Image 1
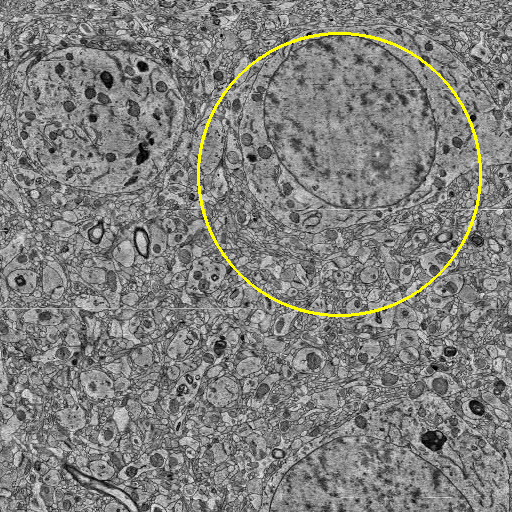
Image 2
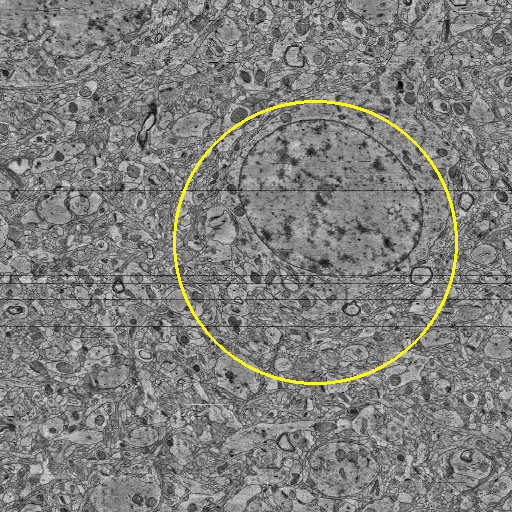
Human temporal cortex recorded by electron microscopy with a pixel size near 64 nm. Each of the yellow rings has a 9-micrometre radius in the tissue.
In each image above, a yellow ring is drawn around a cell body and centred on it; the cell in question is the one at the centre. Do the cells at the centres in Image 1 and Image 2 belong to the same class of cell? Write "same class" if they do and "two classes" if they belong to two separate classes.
same class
